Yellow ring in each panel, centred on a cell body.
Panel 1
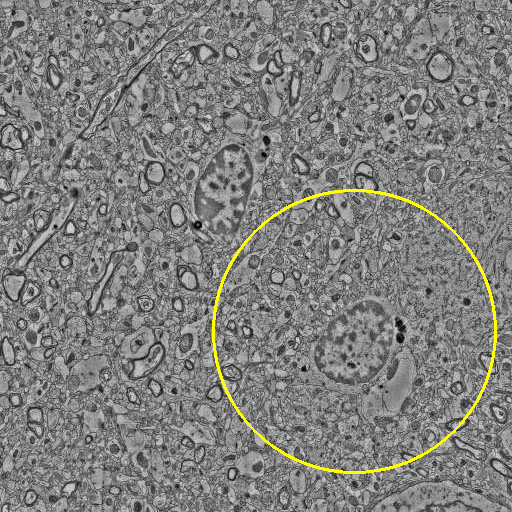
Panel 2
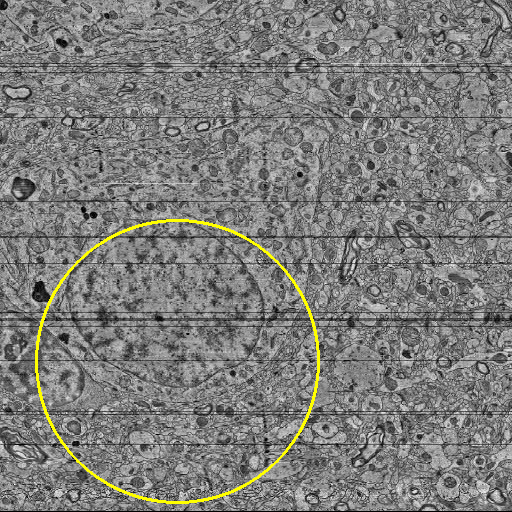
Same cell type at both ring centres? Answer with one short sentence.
No, the two cells are of two types.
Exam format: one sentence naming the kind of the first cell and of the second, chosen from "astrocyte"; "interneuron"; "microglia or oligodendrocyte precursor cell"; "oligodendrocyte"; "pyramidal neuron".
The first picture's cell is an oligodendrocyte, and the second picture's cell is an interneuron.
